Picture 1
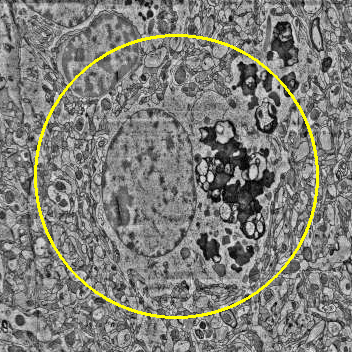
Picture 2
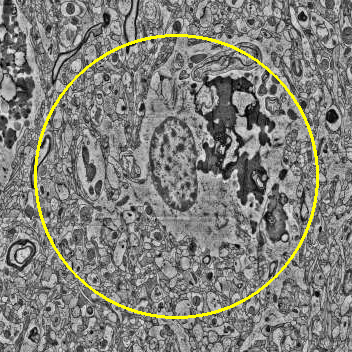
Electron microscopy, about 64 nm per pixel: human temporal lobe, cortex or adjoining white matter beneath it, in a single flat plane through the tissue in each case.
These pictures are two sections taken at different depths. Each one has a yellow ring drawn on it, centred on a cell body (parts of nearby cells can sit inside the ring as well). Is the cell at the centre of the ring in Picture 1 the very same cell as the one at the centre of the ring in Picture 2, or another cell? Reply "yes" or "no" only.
no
